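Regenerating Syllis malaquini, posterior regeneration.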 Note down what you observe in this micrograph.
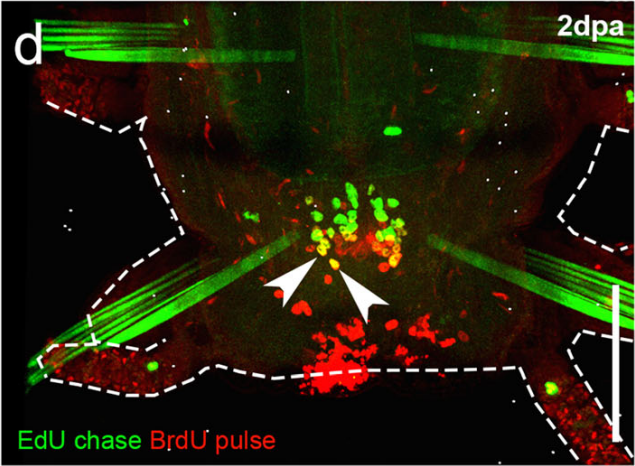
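A small cluster of nuclei sits in the middle of the body, some green, some red and some yellow where both labels overlap. Bundles of long green bristles fan out to either side, and further red nuclei lie scattered toward the lower edge of the outlined body.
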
